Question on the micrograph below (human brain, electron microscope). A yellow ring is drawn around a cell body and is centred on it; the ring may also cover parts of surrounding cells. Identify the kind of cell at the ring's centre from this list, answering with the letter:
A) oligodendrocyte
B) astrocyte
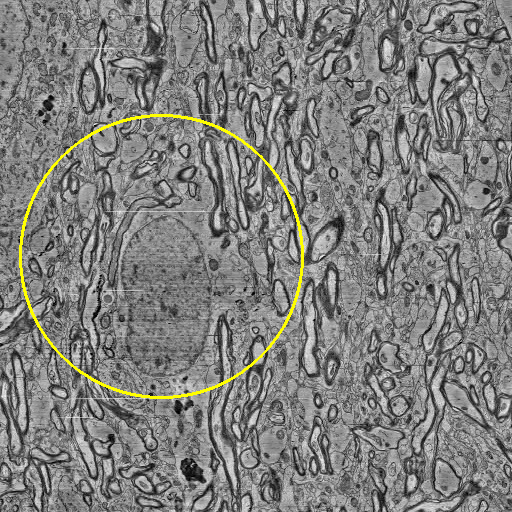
B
